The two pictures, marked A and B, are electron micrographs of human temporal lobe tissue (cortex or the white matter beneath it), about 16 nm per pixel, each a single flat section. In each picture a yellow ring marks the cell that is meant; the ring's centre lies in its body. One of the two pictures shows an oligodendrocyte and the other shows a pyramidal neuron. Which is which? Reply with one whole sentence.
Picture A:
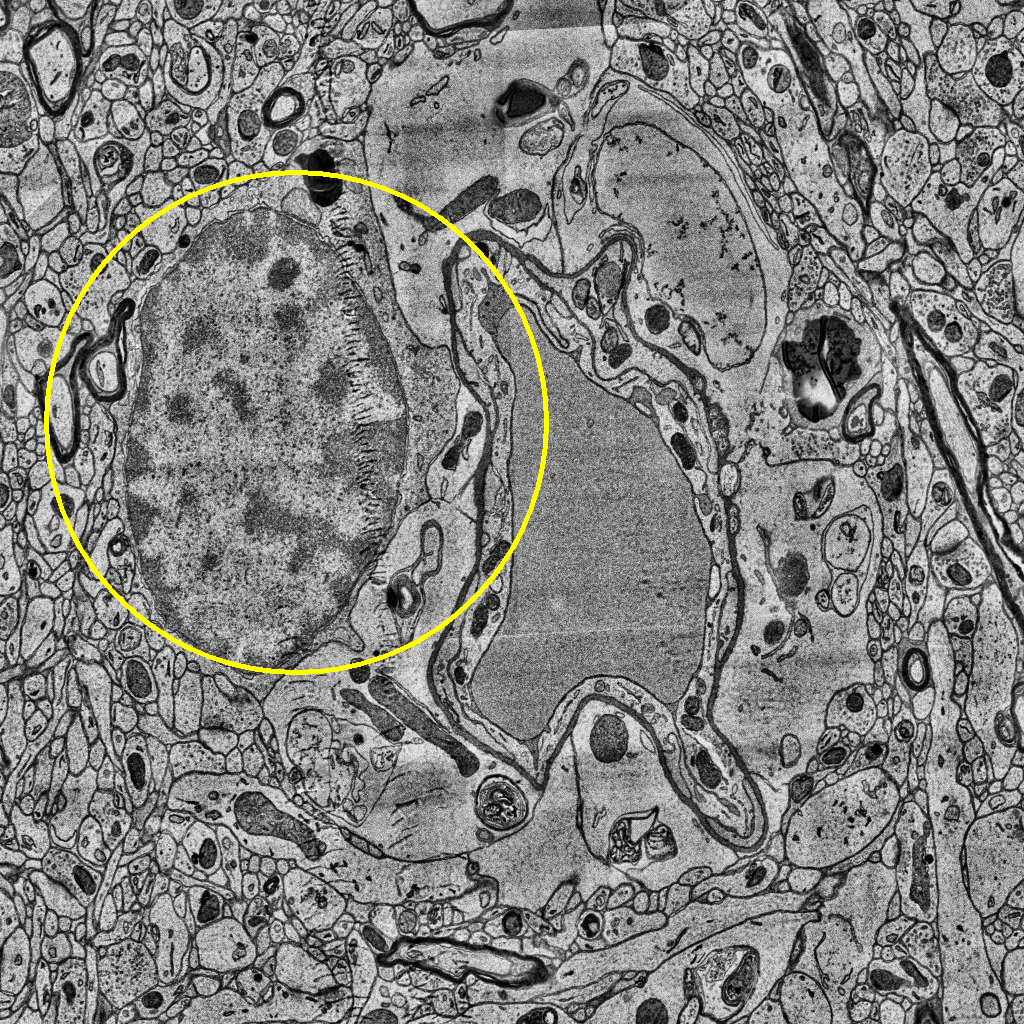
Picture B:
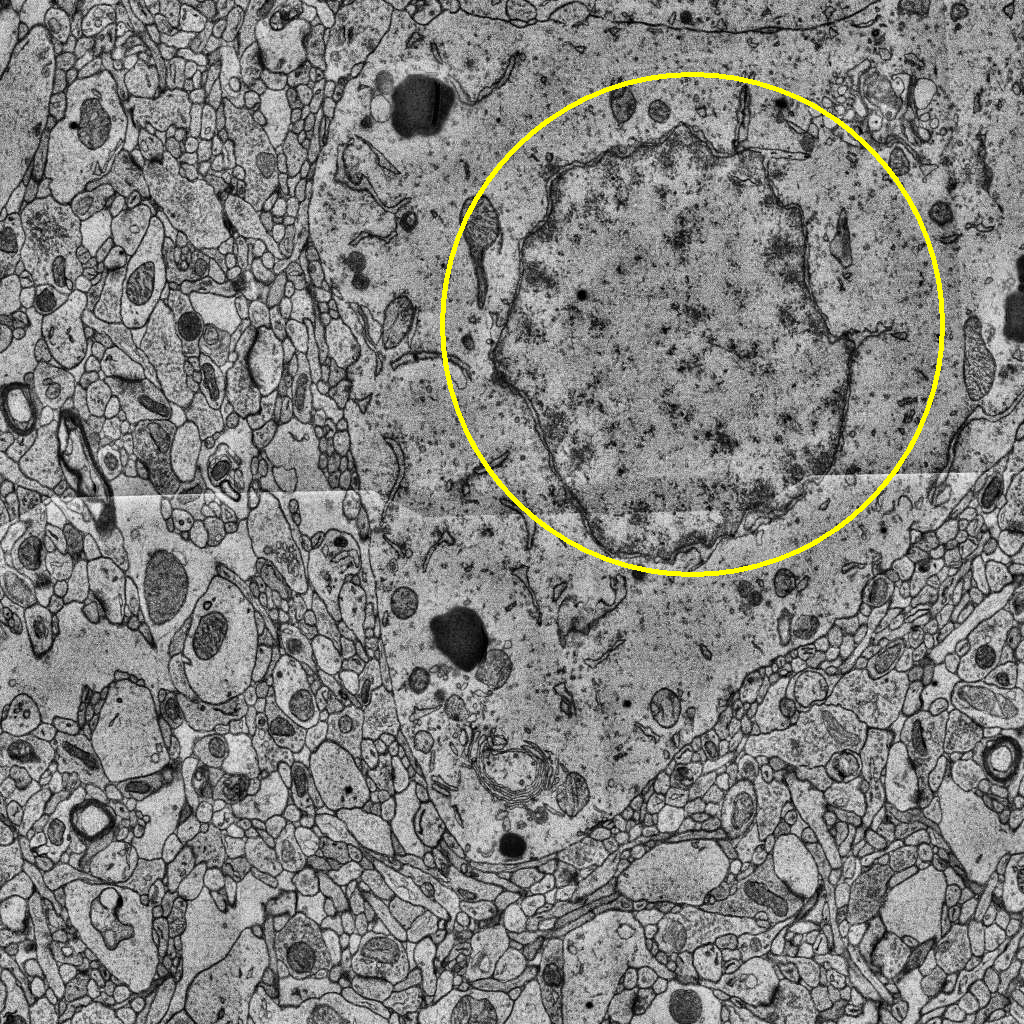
Picture A shows an oligodendrocyte and picture B shows a pyramidal neuron.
